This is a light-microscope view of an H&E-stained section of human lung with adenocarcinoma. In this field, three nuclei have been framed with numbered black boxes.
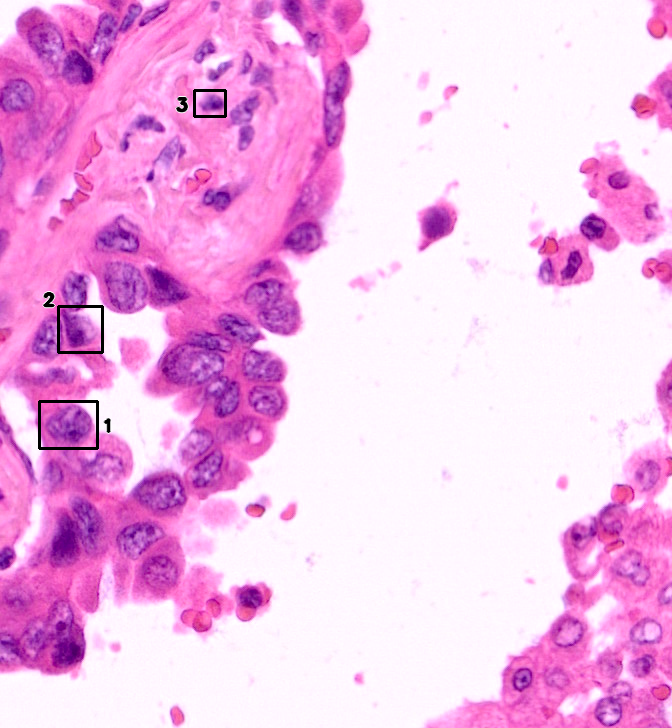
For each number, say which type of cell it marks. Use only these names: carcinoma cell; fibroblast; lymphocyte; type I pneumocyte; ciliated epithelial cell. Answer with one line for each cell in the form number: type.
1: carcinoma cell
2: carcinoma cell
3: lymphocyte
